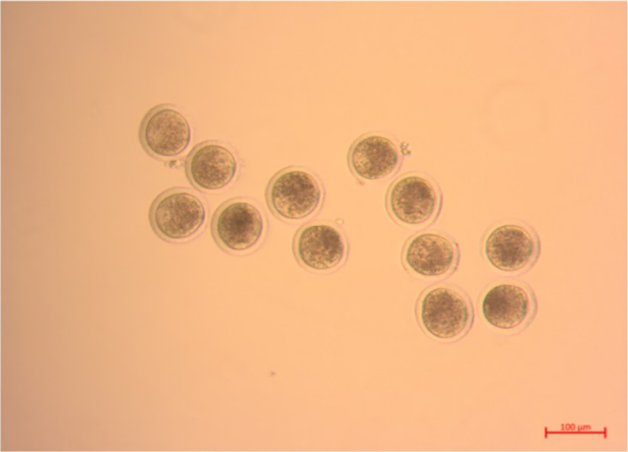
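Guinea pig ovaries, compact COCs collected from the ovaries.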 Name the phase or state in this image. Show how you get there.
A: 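Round oocytes each enclosed in a clear zona pellucida. Little or no cellular investment surrounds the zonae. That points to this answer: naked oocytes.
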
